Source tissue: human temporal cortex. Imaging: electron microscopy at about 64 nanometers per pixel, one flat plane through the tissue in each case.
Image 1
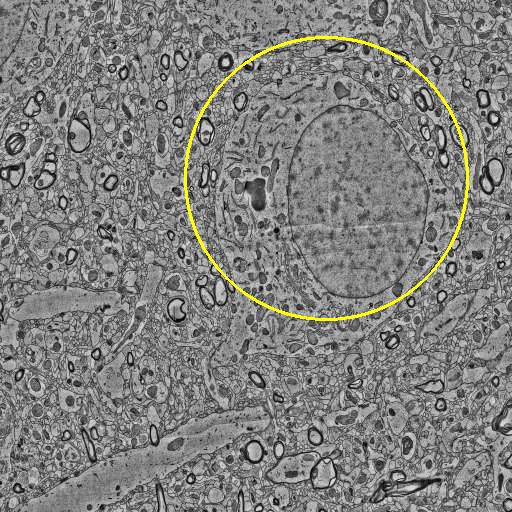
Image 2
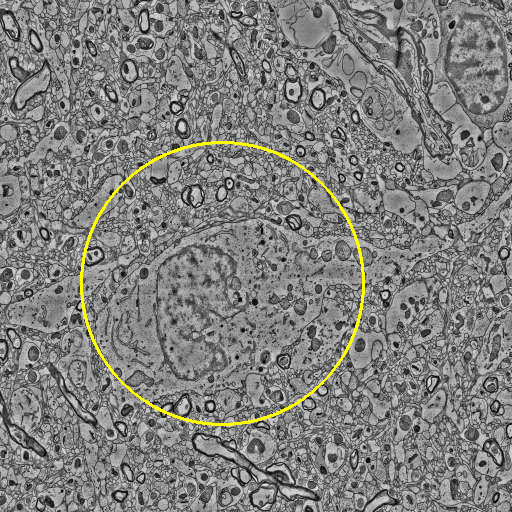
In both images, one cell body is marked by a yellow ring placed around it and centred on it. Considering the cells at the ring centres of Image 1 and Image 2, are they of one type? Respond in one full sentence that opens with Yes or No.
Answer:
Yes, a single type applies to the ring-centred cells of both Image 1 and Image 2.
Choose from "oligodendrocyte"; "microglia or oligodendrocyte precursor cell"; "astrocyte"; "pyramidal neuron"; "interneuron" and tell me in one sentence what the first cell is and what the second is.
The cell at the ring centre is an interneuron in both pictures.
